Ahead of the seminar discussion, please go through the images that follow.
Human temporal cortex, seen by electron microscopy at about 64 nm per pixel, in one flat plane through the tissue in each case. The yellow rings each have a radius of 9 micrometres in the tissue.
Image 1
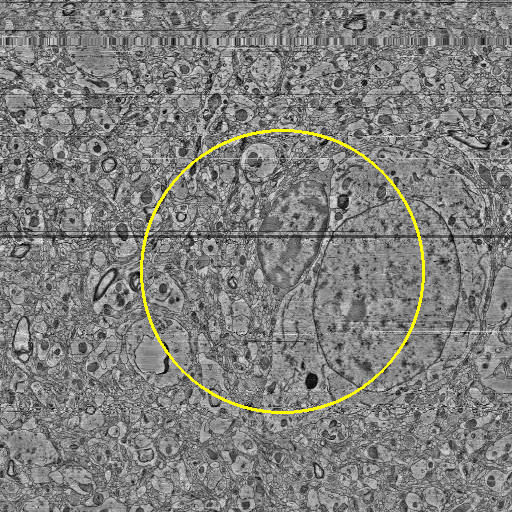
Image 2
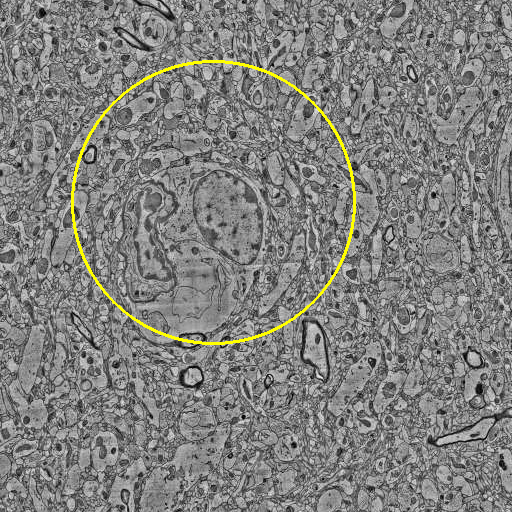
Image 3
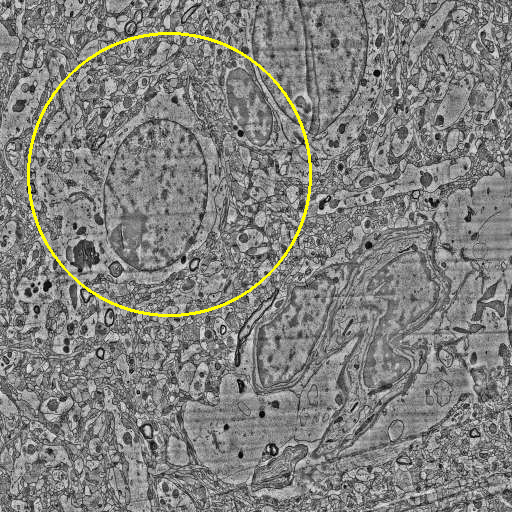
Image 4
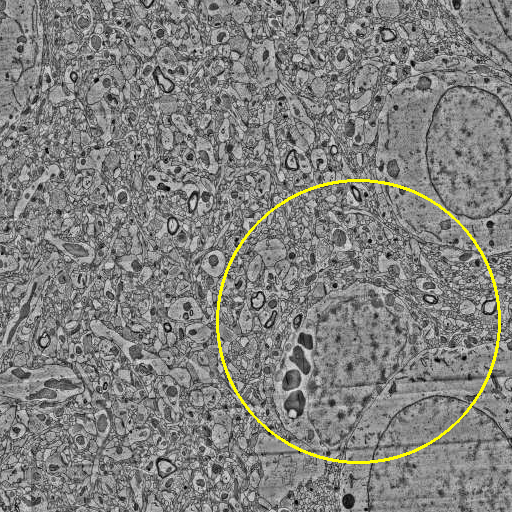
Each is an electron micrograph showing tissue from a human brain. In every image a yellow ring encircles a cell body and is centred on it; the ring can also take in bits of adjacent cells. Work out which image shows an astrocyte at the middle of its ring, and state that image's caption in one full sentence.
In Image 3, the ring's centre holds the cell you are looking for.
